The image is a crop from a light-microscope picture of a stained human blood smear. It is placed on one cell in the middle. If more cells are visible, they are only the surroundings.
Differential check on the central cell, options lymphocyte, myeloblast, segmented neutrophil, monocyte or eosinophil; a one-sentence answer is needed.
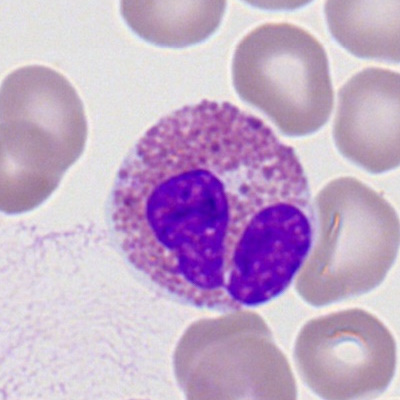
Seen at the centre of the crop is an eosinophil.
